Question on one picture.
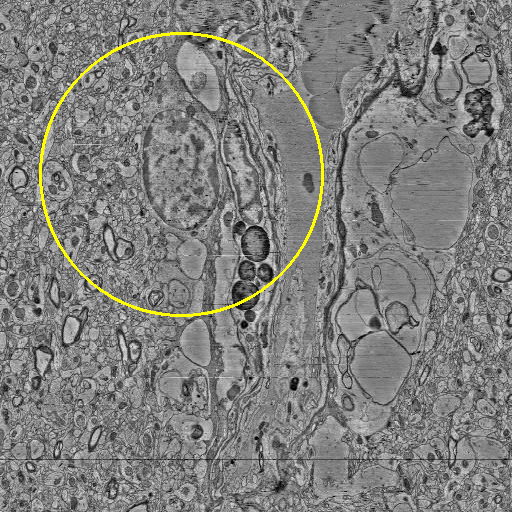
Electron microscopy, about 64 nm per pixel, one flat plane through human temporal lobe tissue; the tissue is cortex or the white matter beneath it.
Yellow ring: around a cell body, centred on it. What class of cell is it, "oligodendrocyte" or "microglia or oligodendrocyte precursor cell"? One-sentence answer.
This is an oligodendrocyte, the cell the ring is centred on.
